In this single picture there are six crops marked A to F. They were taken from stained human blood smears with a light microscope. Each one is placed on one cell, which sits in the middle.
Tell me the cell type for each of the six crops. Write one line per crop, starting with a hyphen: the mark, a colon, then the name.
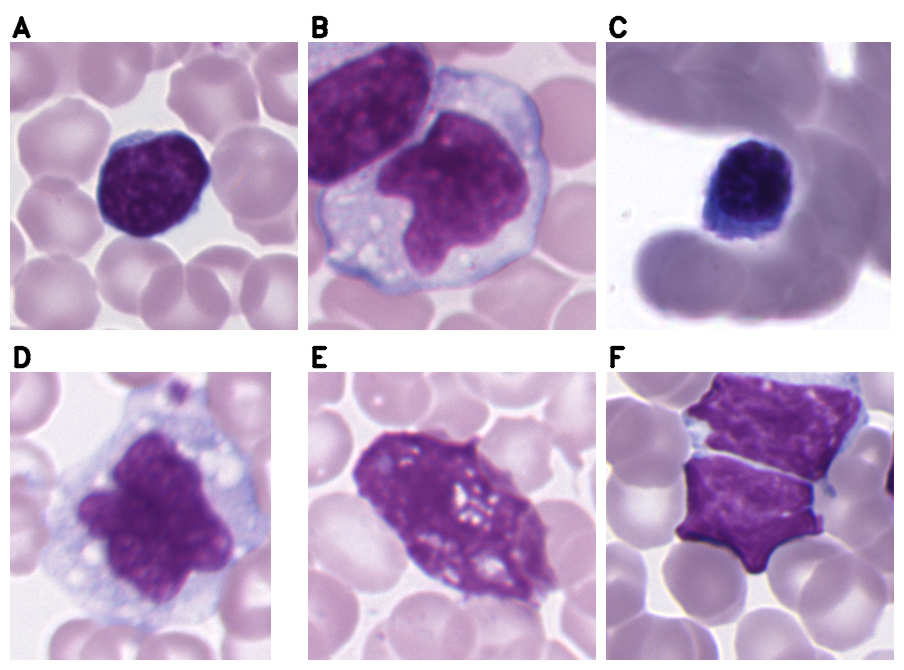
- A: typical lymphocyte
- B: monocyte
- C: plasma cell
- D: monocyte
- E: smudge cell
- F: typical lymphocyte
